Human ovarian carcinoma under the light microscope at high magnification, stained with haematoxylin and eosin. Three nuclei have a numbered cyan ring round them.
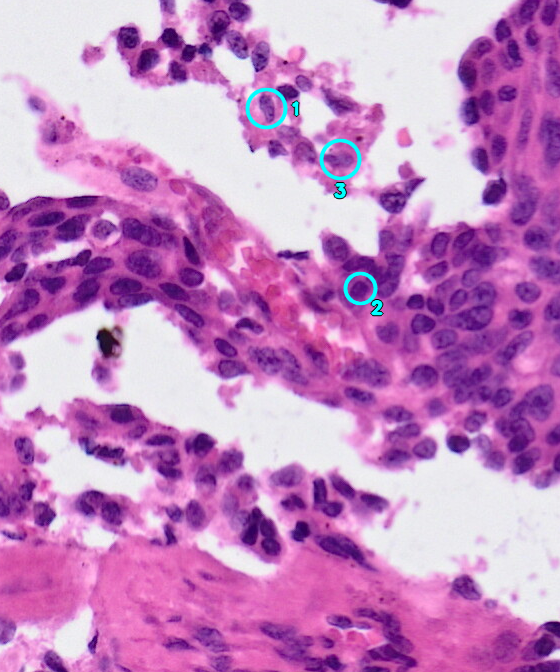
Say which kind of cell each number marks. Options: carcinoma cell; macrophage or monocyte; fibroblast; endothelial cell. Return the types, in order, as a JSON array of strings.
["macrophage or monocyte", "carcinoma cell", "macrophage or monocyte"]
